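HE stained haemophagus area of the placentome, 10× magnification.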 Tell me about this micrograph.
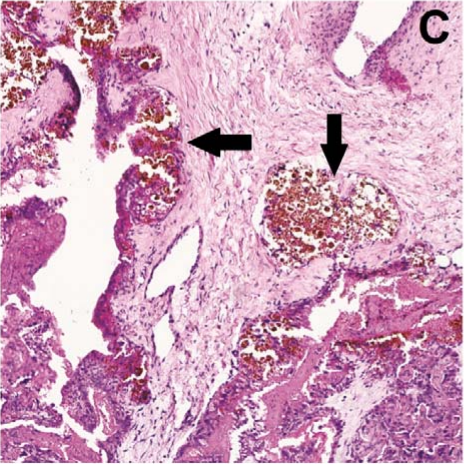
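Folded strips of purple-nucleated epithelium line irregular empty spaces on the left and lower parts of the field. Between them runs loose, pale pink fibrous connective tissue with scattered small nuclei. Several large clusters of red-brown granular material, erythrocytes and their debris, sit within or against the epithelium and fill rounded pockets. These dense brown clumps stand out sharply against the pink and purple tissue around them.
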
